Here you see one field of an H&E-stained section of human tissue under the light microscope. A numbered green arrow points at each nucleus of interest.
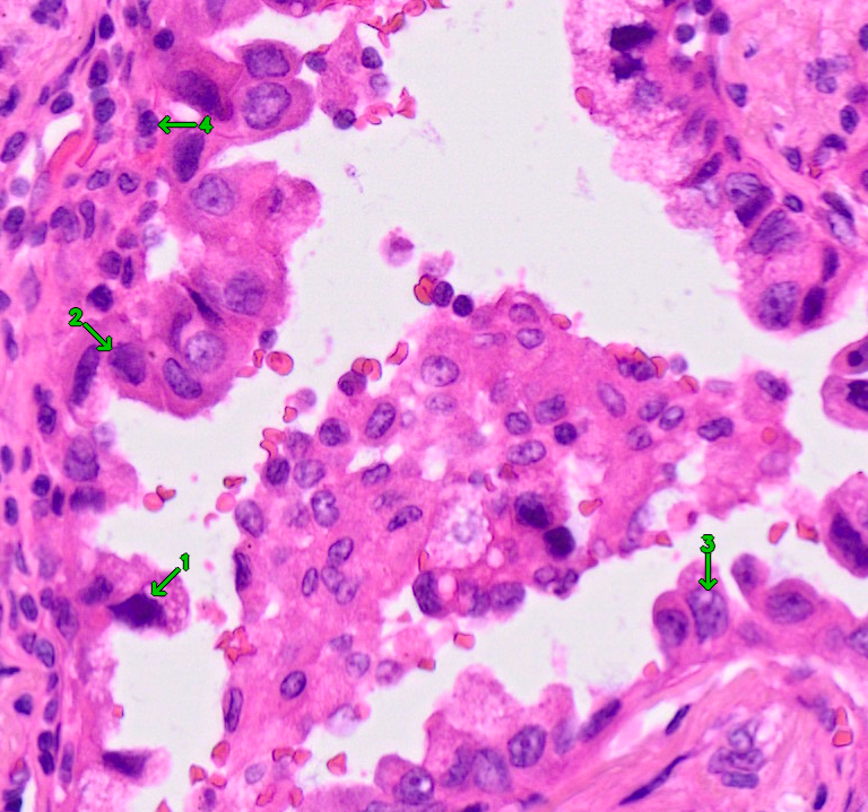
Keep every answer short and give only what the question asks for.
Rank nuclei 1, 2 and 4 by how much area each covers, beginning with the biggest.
1, 2, 4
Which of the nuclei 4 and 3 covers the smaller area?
4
